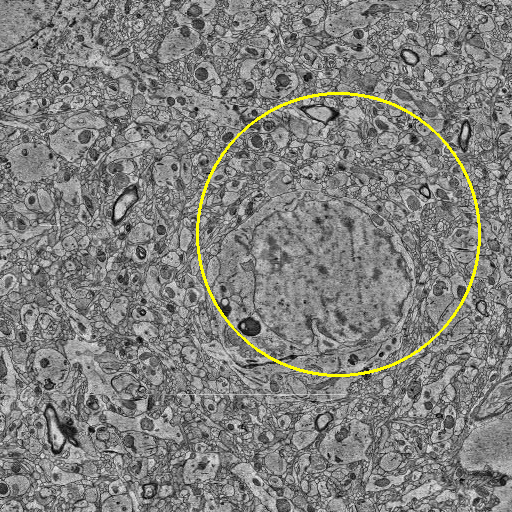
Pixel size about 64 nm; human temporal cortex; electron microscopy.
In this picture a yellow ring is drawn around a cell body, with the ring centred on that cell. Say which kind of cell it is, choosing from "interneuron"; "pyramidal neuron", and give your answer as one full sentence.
Here it is an interneuron that sits at the centre of the drawn yellow ring.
